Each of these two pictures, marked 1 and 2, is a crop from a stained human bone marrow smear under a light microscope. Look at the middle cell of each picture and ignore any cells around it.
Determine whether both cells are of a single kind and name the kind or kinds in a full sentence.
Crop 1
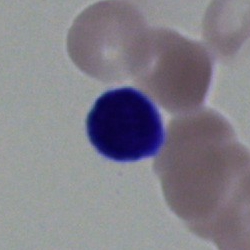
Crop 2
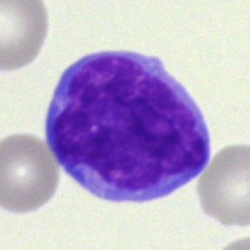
No, crop 1 contains a lymphocyte; a blast is what crop 2 contains.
